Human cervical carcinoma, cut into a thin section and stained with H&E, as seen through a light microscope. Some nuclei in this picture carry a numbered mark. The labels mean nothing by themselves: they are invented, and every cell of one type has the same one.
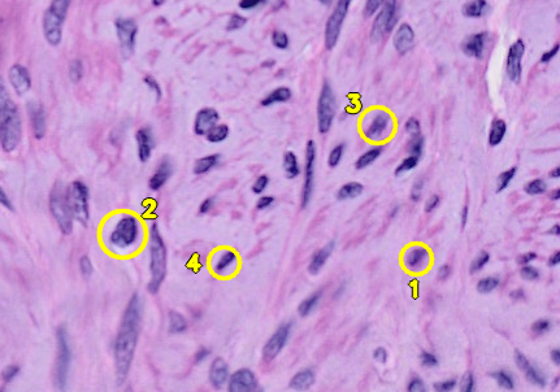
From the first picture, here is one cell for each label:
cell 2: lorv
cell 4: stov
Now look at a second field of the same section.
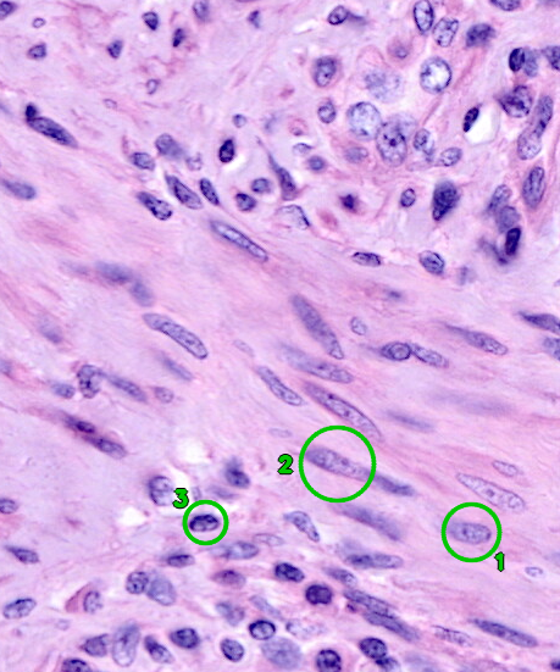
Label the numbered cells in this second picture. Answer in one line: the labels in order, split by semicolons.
stov; stov; lorv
